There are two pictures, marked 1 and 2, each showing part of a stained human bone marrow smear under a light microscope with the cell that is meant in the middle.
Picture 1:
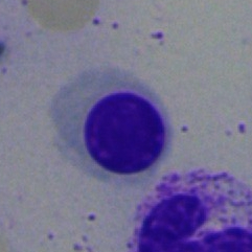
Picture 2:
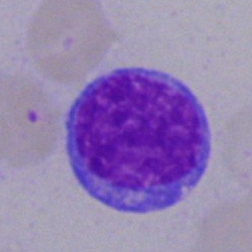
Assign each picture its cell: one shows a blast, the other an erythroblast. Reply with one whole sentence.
In picture 1 the cell is an erythroblast; in picture 2, a blast.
